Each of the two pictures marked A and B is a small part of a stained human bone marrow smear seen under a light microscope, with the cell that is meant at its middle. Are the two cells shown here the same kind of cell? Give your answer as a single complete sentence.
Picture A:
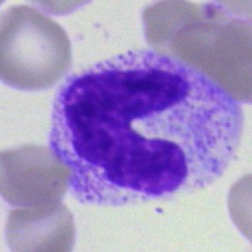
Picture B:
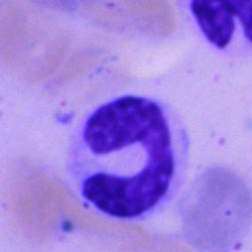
Yes, both cells are band neutrophils.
